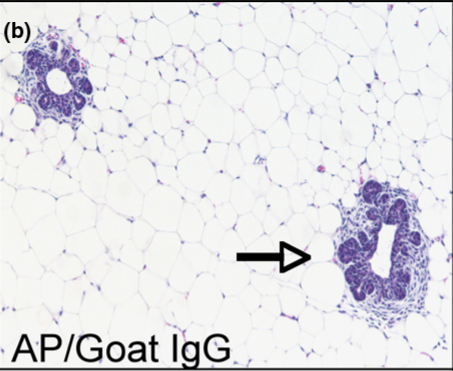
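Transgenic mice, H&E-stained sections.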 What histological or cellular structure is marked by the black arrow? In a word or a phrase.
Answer: epithelial budding structures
